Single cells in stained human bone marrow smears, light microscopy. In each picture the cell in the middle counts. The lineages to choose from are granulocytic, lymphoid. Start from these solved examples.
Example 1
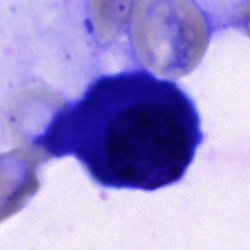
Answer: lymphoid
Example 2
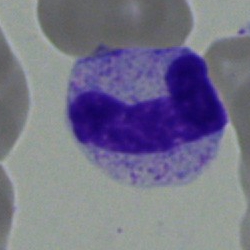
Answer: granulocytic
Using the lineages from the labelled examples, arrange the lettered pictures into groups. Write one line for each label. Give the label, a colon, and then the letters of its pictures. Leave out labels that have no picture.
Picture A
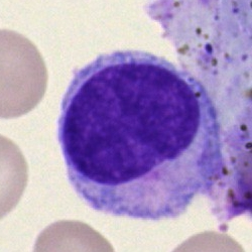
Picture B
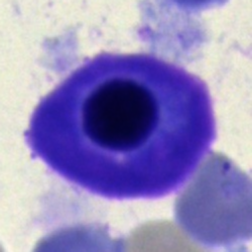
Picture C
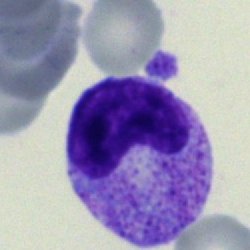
granulocytic: C
lymphoid: A, B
